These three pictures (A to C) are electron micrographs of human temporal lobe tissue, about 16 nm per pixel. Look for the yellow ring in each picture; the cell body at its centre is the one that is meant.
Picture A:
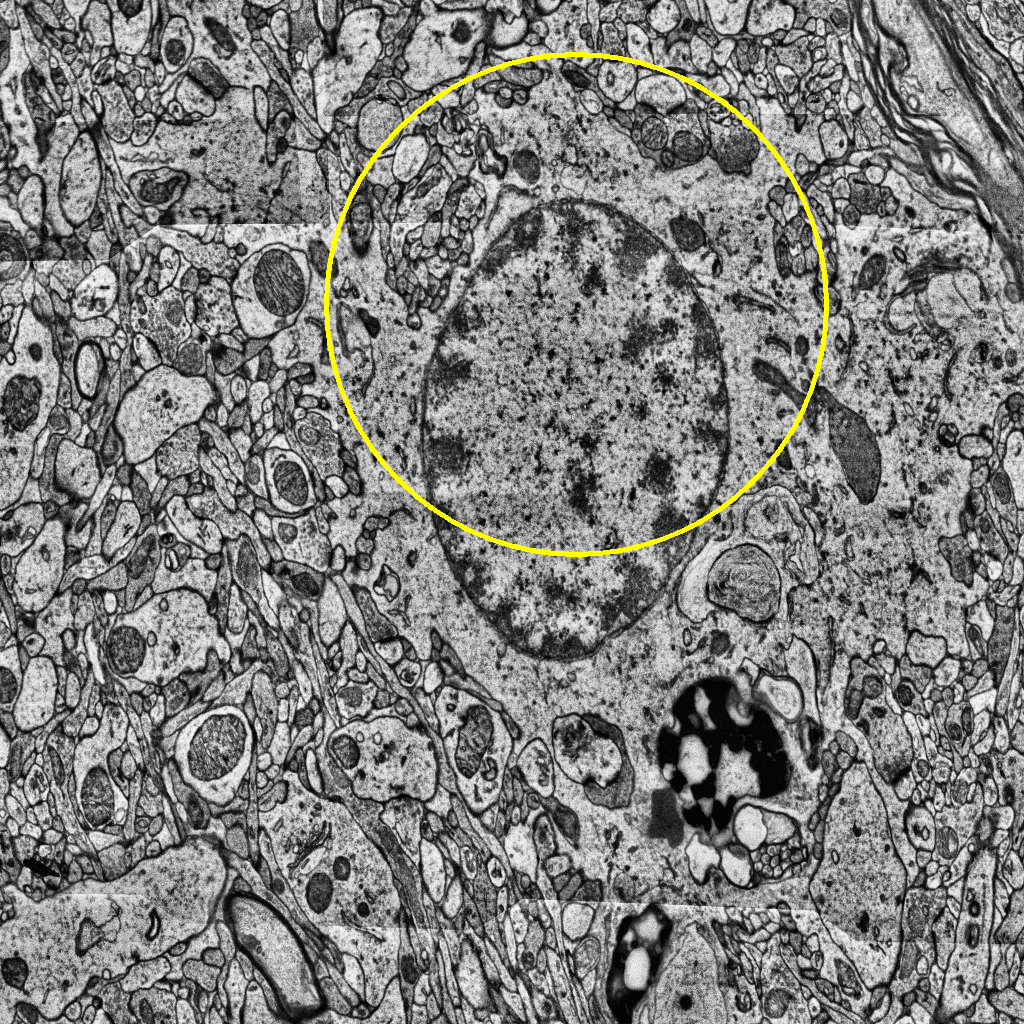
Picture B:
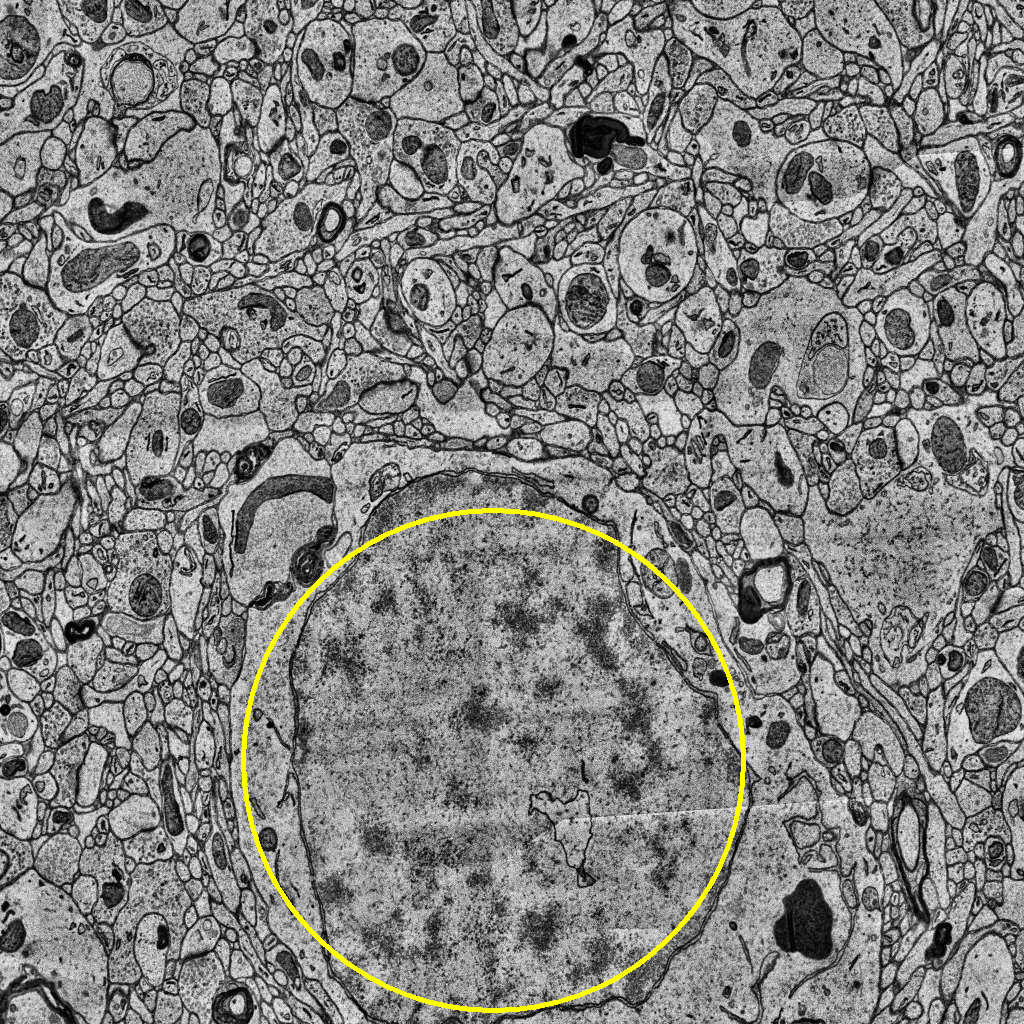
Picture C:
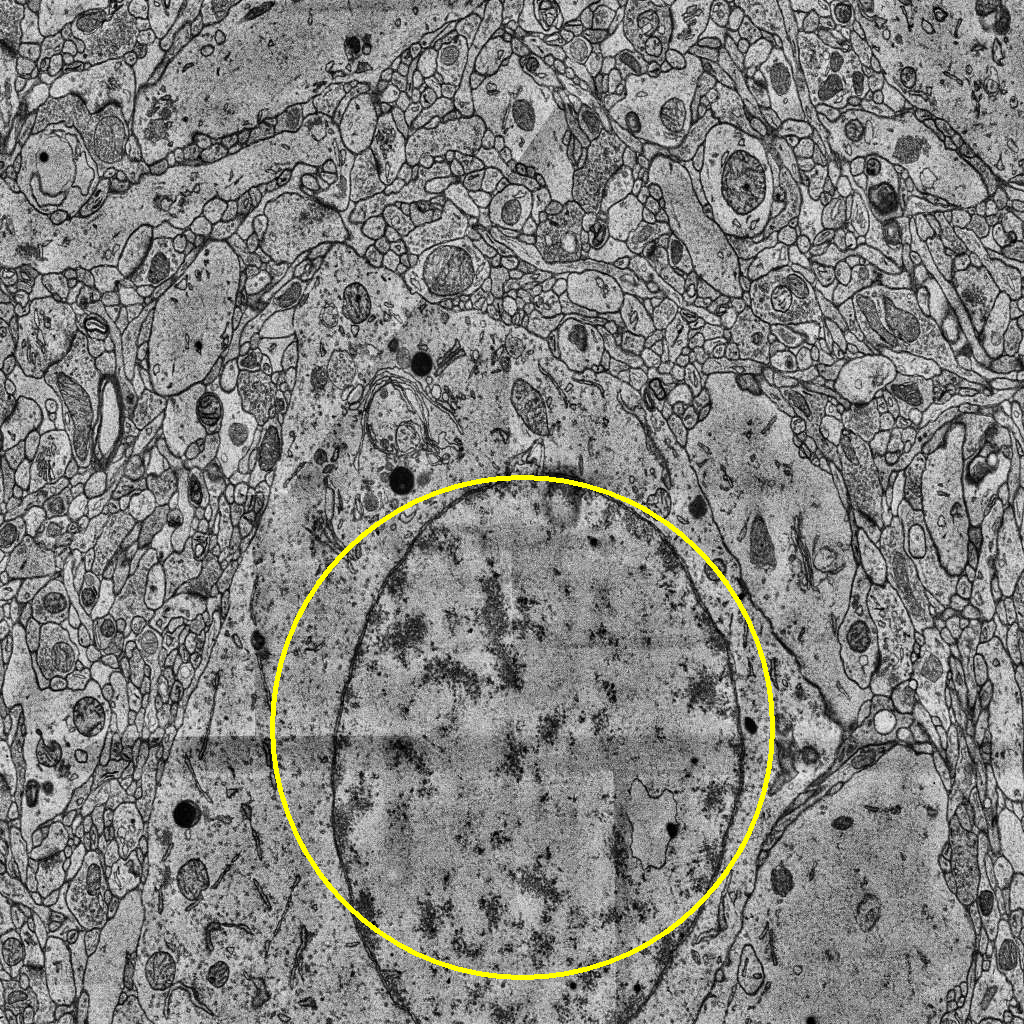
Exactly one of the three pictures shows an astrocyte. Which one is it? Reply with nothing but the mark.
A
